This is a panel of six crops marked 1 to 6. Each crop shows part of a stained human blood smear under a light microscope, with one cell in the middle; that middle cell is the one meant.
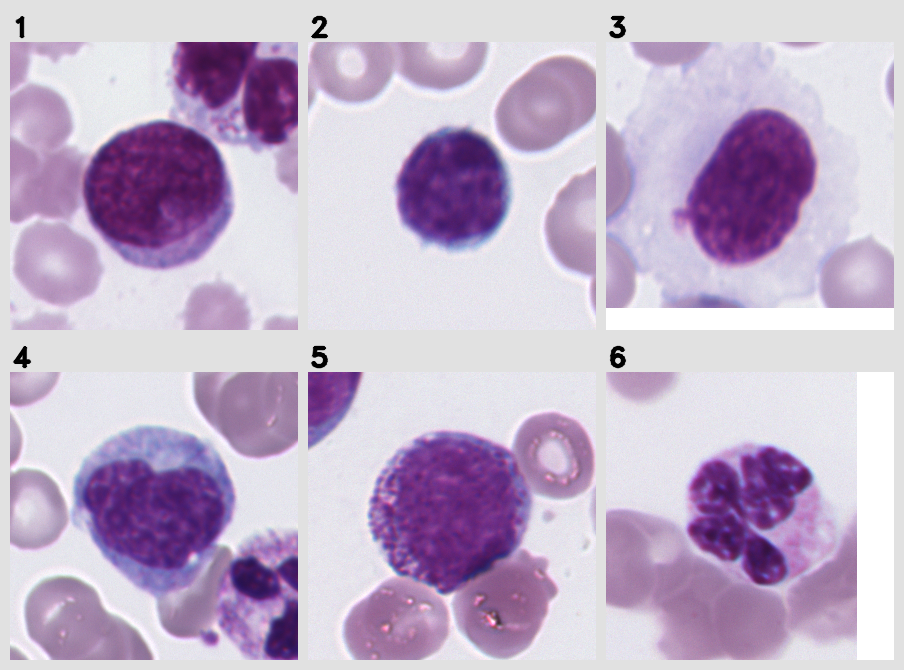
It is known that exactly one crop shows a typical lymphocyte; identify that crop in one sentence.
The one crop in the set with a typical lymphocyte is crop 2.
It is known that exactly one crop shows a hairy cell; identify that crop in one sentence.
It is crop 3 that shows a hairy cell.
